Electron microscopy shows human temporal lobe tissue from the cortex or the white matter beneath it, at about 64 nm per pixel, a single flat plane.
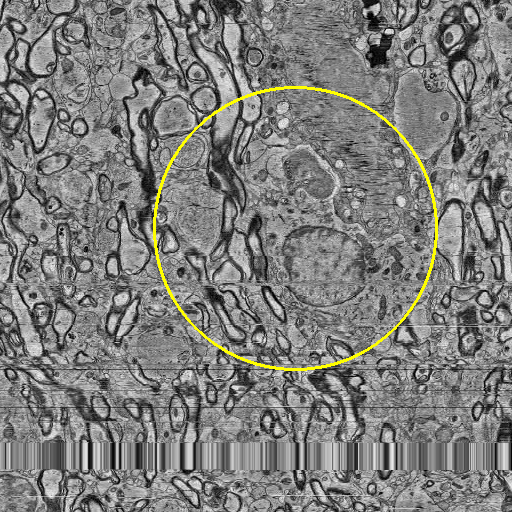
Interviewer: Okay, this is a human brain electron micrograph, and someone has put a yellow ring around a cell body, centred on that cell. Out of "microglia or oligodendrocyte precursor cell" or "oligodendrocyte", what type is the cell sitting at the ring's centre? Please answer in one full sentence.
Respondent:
The cell at the centre of the yellow ring in this picture is a microglial cell or oligodendrocyte precursor cell.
